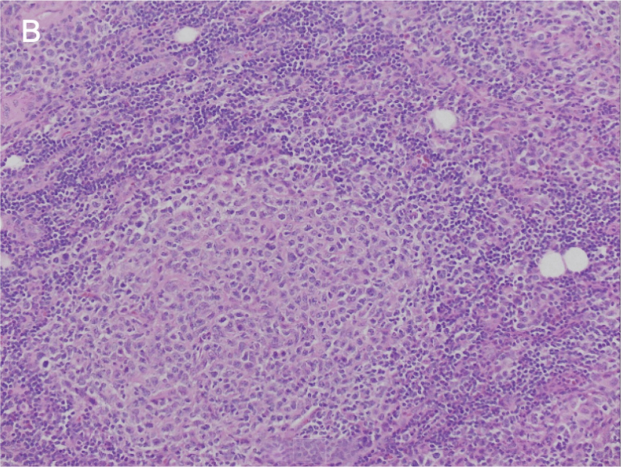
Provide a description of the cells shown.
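The center is a broad pale area made up of larger cells with paler nuclei and more pink cytoplasm. All around it lies a dense rim of small, darkly stained lymphocytes. A few small clear round spaces, likely fat or artifact, are scattered in the surrounding tissue.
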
